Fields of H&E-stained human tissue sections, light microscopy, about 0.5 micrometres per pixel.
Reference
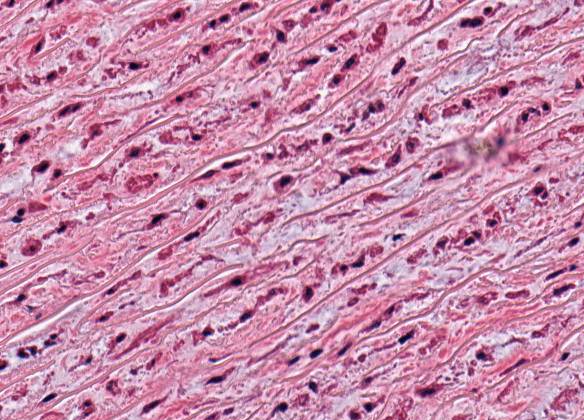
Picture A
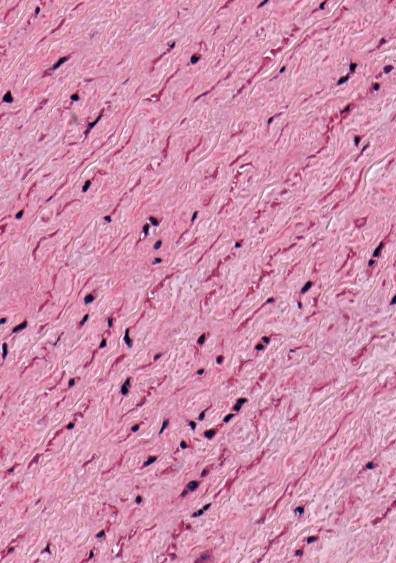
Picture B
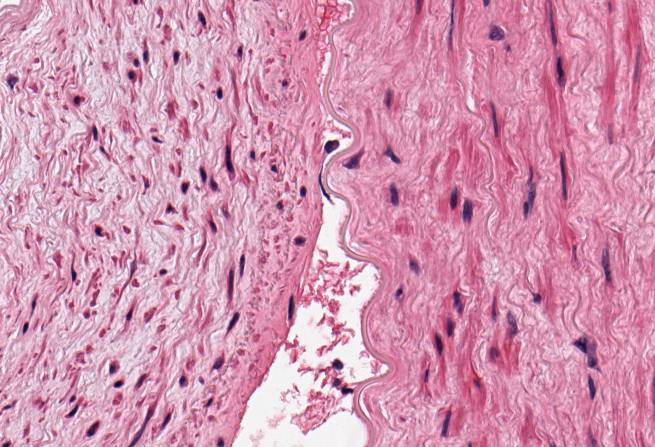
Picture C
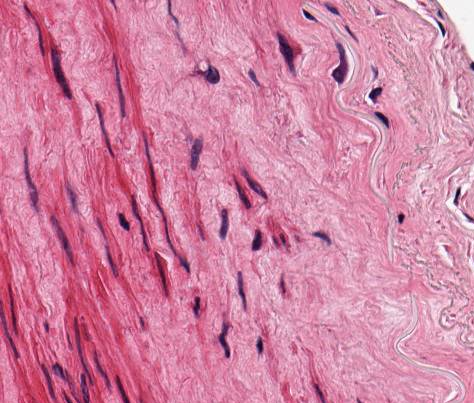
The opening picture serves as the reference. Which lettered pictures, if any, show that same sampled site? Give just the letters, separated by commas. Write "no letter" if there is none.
A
